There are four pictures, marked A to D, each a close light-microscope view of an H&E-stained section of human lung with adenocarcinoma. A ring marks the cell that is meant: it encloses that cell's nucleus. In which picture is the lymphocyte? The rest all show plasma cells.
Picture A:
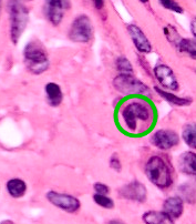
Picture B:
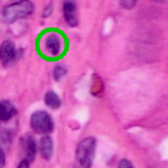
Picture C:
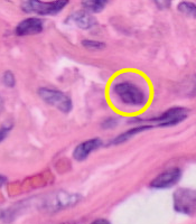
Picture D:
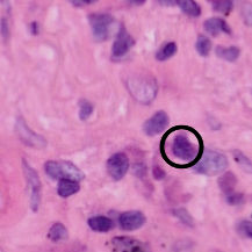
B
